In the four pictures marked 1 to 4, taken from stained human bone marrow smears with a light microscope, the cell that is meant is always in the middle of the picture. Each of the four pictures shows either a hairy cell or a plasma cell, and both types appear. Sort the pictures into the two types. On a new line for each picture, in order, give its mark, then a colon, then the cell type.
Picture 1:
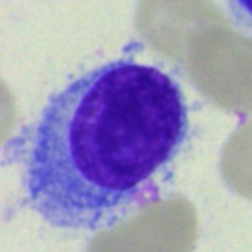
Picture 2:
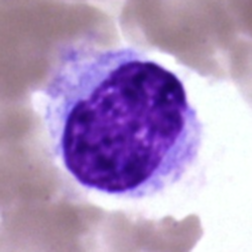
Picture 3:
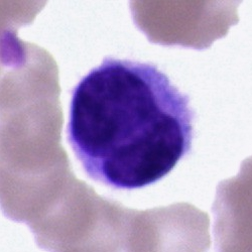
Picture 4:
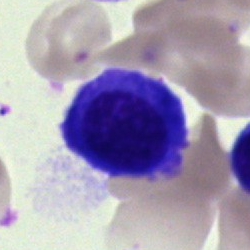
1: hairy cell
2: hairy cell
3: hairy cell
4: plasma cell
